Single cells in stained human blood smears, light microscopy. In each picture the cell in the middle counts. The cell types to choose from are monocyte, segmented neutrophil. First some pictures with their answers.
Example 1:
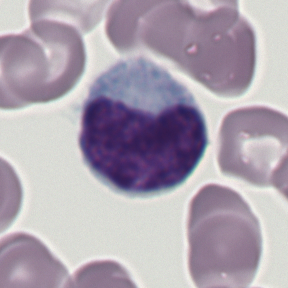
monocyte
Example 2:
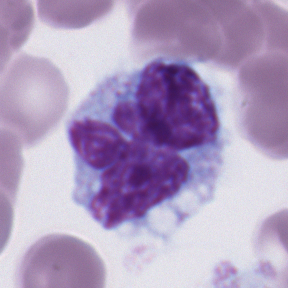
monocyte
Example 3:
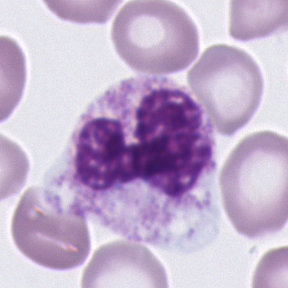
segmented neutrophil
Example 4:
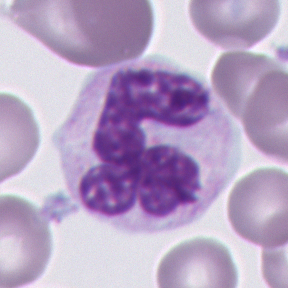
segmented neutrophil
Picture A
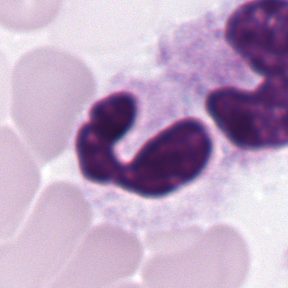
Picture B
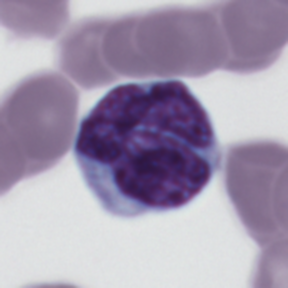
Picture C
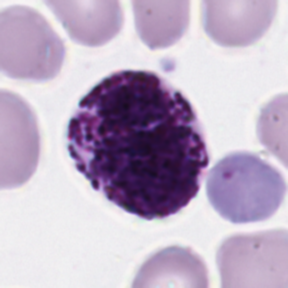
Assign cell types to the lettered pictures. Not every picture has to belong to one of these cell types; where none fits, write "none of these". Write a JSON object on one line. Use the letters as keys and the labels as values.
{"A": "segmented neutrophil", "B": "monocyte", "C": "none of these"}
